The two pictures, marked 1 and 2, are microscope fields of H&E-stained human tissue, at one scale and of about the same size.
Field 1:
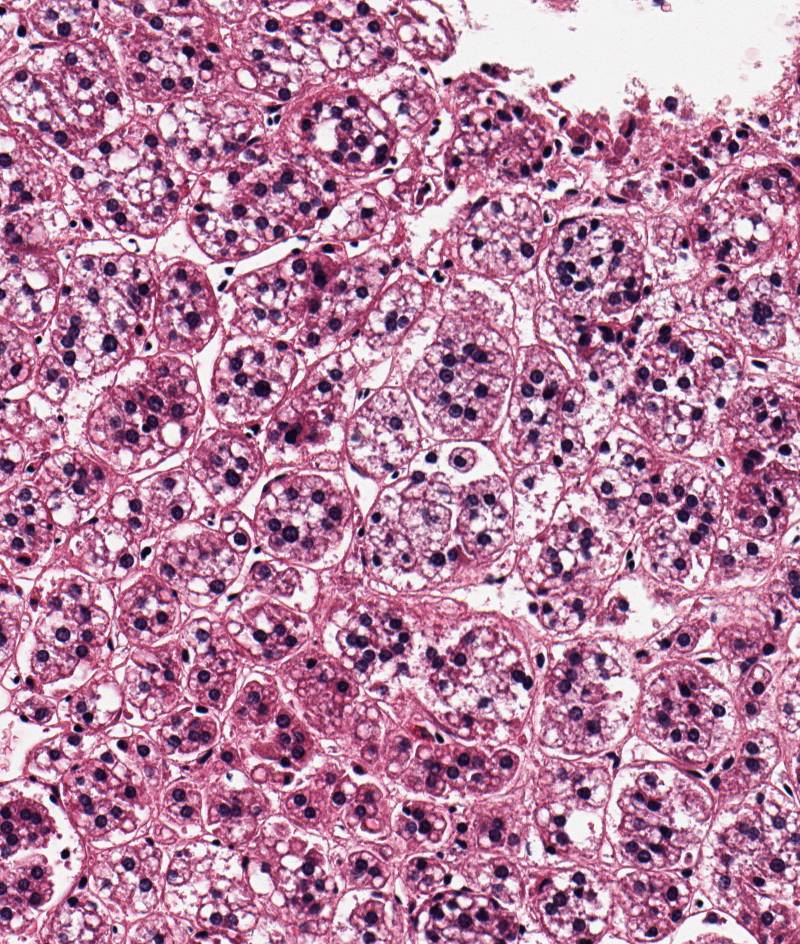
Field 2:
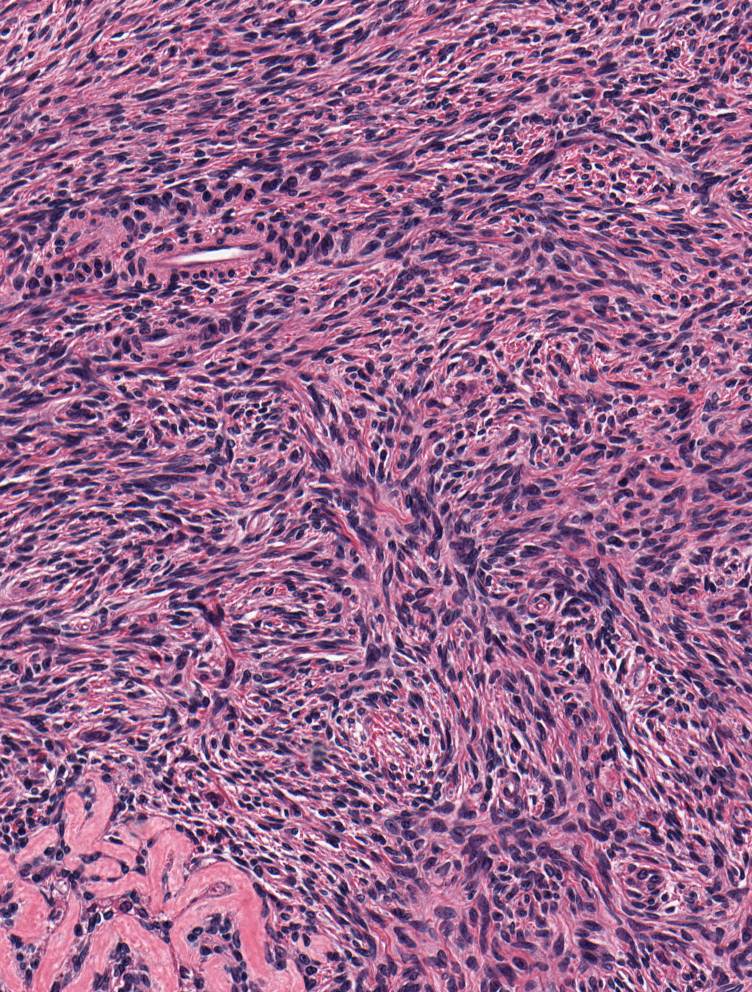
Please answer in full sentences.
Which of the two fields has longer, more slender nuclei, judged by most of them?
On the whole the nuclei of field 2 are more drawn out than those of field 1.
